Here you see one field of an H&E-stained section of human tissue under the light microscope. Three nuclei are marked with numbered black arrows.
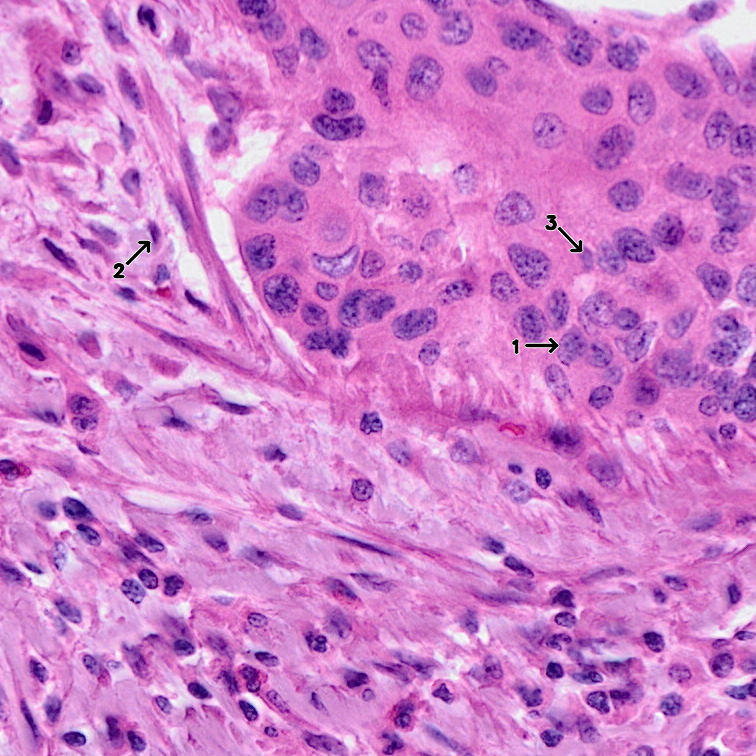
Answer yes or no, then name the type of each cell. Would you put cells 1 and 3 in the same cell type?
Yes, cells 1 and 3 are alike in being squamous carcinoma cells.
